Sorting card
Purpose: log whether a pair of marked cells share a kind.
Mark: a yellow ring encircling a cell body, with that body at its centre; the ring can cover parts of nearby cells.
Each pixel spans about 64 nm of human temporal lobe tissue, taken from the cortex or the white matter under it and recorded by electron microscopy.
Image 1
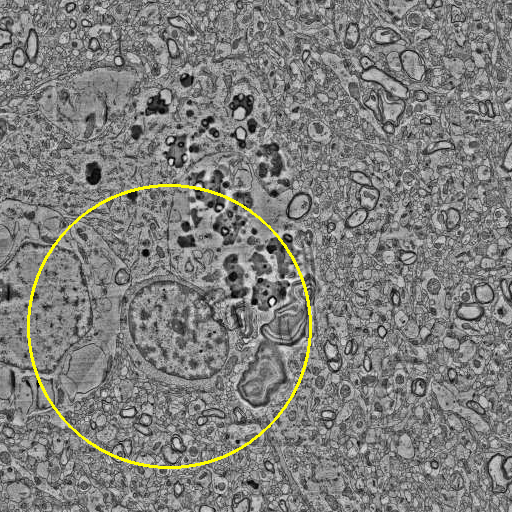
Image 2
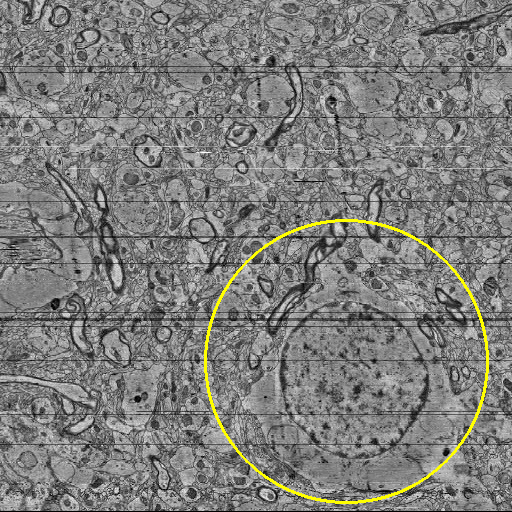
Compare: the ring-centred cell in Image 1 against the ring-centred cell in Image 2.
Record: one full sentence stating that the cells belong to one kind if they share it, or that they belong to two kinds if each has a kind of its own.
Across Images 1 and 2, the two ring-centred cells belong to two kinds.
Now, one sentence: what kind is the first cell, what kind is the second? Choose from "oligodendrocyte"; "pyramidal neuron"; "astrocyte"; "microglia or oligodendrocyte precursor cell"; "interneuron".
The first picture has an oligodendrocyte at its ring centre, and the second has an astrocyte.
